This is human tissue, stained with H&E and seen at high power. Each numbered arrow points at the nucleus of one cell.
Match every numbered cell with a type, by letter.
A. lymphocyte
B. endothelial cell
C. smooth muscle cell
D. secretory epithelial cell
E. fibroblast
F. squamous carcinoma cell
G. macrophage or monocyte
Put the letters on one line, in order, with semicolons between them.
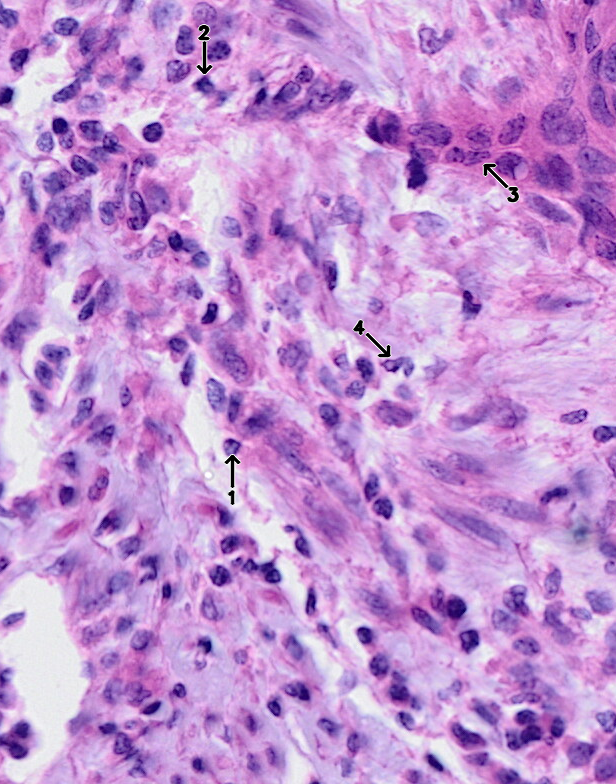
A; A; F; A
